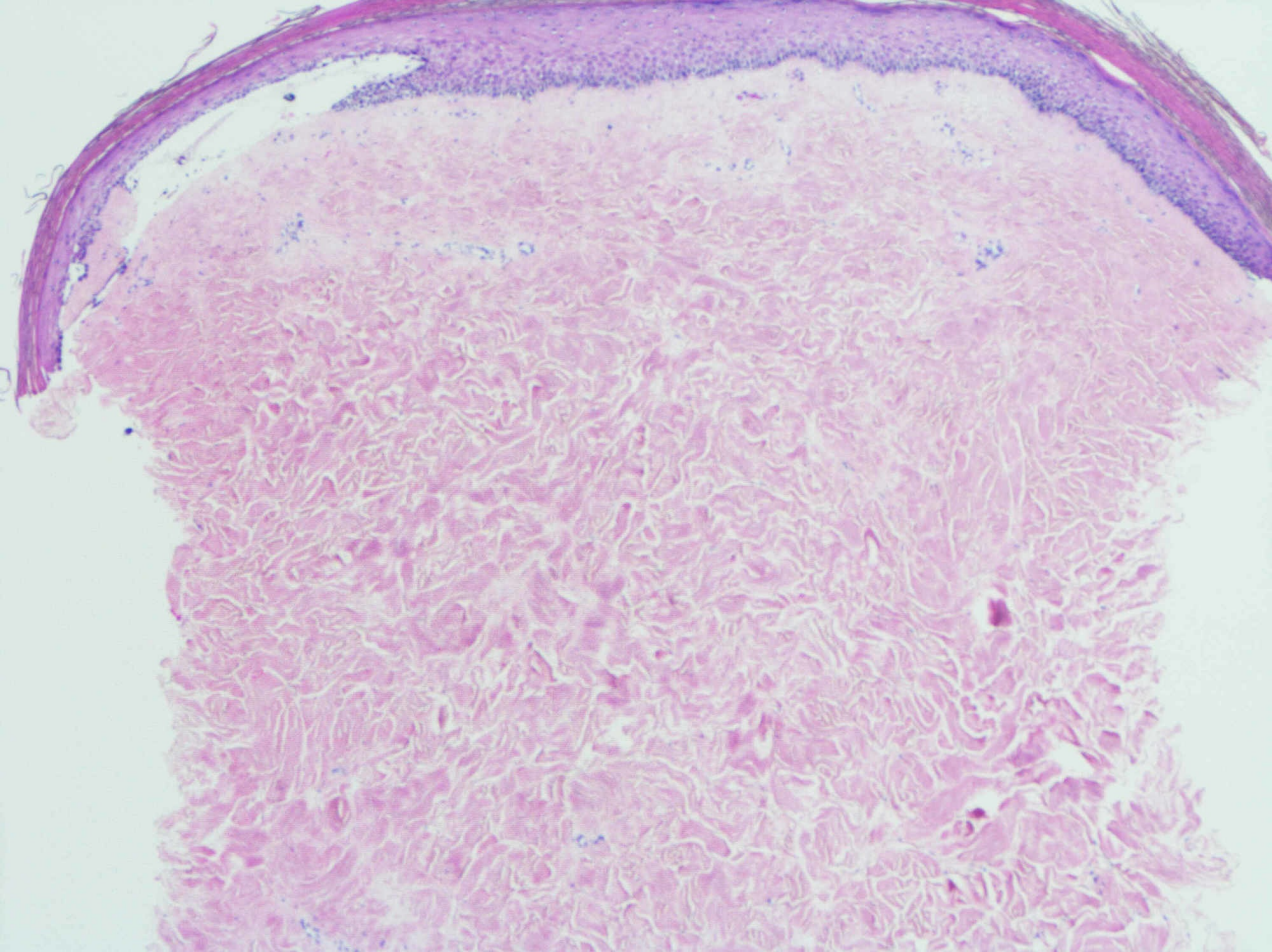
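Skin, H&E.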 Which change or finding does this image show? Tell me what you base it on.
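The dermis is filled with broad, homogeneous pink collagen bundles. The bundles are closely packed with little space between them. Few cells are seen among the collagen bundles. That points to this answer: reticular collagen fibers are thickened and hyalinized.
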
